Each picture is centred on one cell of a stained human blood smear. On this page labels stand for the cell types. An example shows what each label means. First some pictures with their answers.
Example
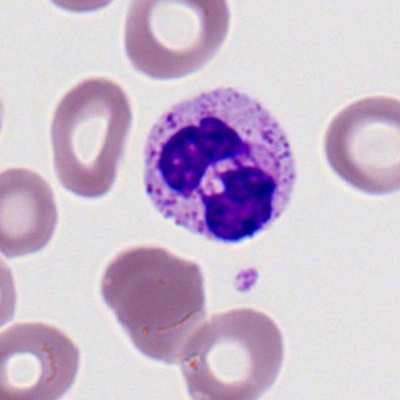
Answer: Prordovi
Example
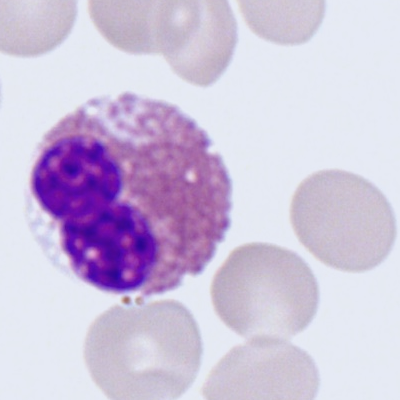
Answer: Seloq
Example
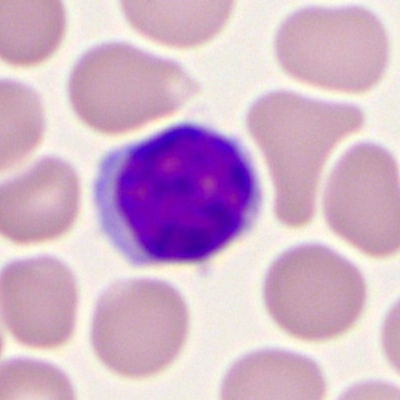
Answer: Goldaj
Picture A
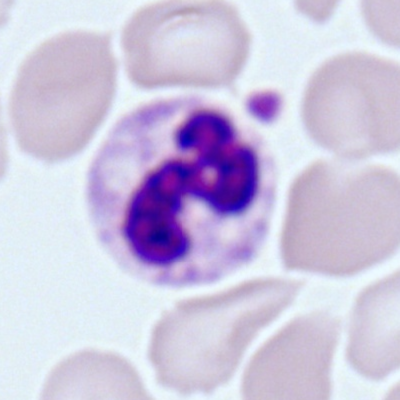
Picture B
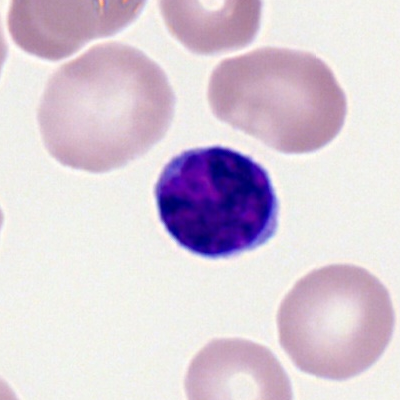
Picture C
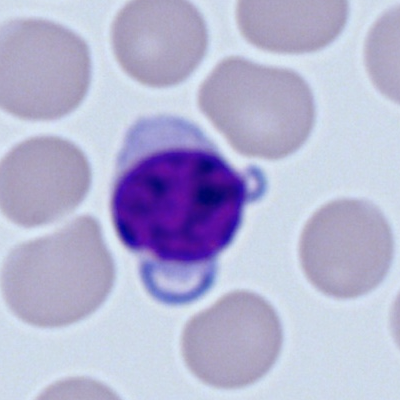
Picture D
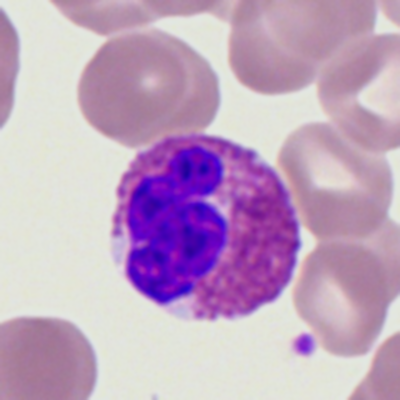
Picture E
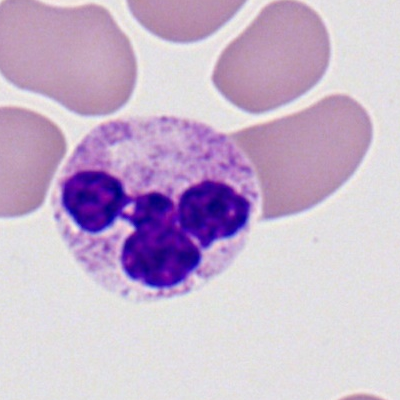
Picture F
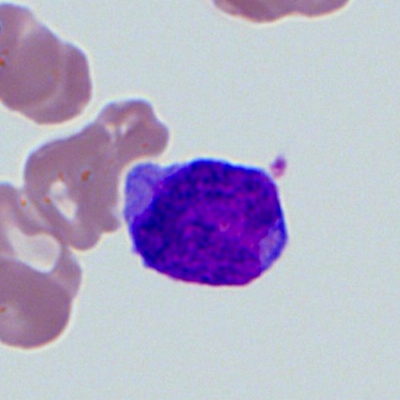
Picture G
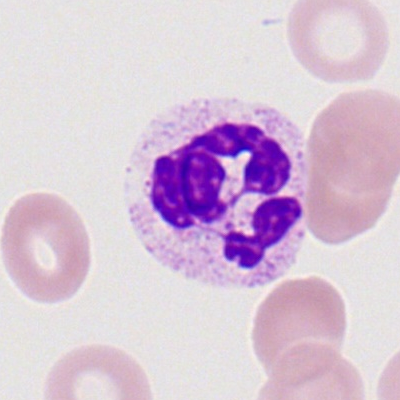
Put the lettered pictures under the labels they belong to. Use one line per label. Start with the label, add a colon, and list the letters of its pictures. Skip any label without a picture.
Prordovi: A, E, G
Seloq: D
Goldaj: B, C, F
